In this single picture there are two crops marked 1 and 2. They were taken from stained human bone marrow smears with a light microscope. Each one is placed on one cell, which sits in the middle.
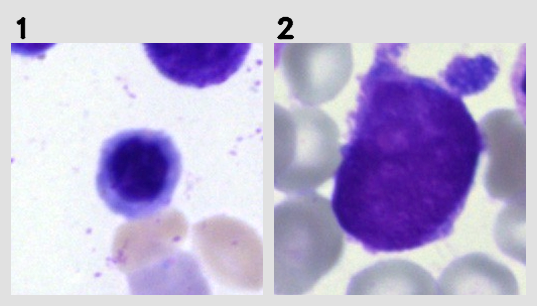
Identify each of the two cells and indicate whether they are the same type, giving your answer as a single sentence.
No, the cell that crop 1 shows is an erythroblast, and the one crop 2 shows is a blast.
